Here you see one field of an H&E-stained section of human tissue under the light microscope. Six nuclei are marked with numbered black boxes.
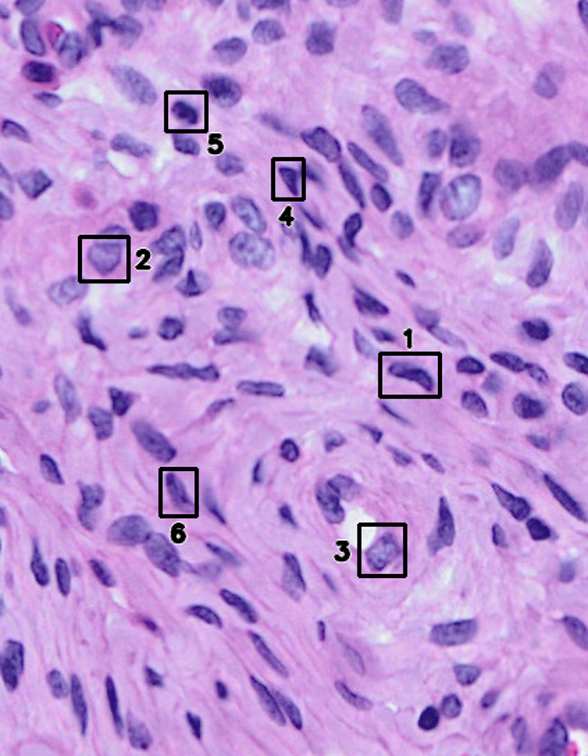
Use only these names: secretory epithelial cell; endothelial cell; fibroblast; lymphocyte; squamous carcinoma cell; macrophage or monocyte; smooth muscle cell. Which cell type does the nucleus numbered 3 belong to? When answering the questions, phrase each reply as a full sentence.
Classified as an endothelial cell is the cell with the number 3.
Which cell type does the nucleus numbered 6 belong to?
The cell tagged with 6 in this tissue section is a fibroblast.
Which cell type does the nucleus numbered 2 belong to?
Cell 2 should be recorded as an endothelial cell.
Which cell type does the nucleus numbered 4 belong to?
The cell numbered 4 represents a fibroblast.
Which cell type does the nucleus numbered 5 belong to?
In this section, the cell numbered 5 is a lymphocyte.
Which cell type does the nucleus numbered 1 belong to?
The cell bearing label 1 corresponds to a fibroblast.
